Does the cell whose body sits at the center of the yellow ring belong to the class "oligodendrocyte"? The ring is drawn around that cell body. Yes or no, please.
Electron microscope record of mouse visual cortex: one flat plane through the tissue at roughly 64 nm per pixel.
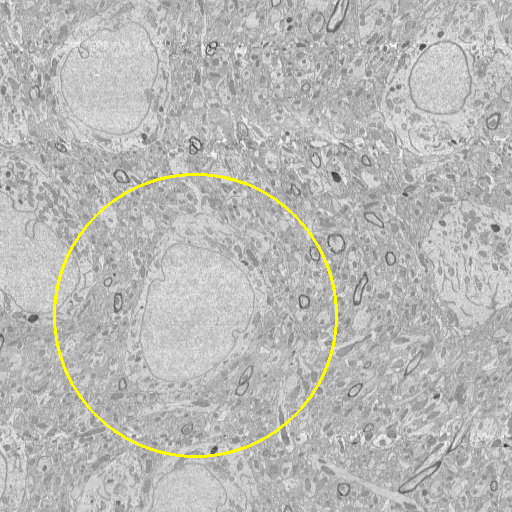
No, it belongs to another class.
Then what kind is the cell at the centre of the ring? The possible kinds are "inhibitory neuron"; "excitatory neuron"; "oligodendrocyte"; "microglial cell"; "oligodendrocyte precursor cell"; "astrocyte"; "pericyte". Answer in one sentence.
The ring holds an excitatory neuron at its centre.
